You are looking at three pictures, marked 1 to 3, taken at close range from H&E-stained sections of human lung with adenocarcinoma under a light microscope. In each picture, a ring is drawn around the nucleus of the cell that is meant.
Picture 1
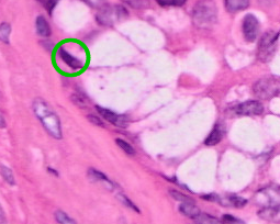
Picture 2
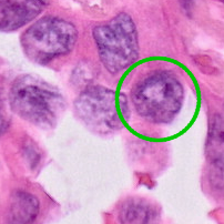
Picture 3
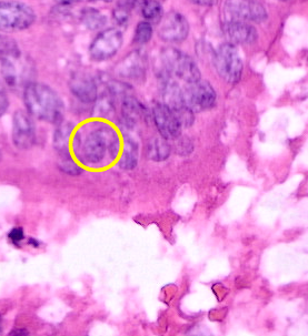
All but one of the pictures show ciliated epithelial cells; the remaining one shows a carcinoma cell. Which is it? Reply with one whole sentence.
The cell in picture 2 is the carcinoma cell.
